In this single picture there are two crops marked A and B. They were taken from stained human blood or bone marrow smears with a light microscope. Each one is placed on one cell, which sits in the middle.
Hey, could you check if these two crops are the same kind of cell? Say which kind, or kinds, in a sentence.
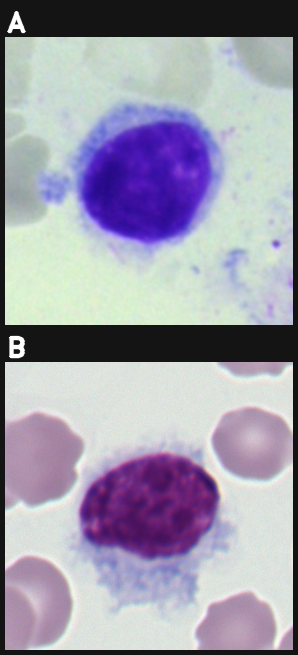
Yes, both crops contain hairy cells at their centres.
